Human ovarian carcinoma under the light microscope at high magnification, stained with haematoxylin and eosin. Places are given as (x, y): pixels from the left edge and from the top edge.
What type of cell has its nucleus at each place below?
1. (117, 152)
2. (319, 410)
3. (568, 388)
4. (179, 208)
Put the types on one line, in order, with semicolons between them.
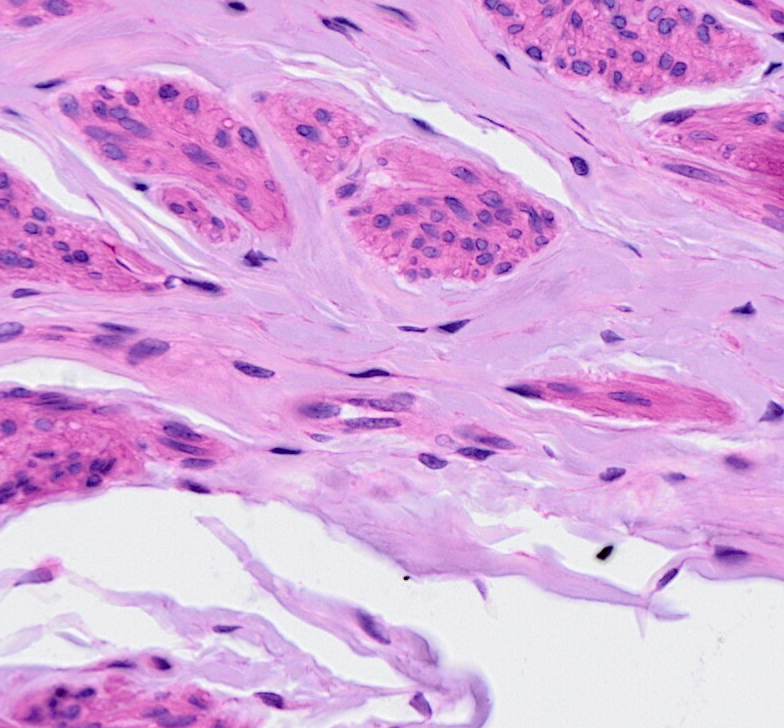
smooth muscle cell; endothelial cell; smooth muscle cell; smooth muscle cell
